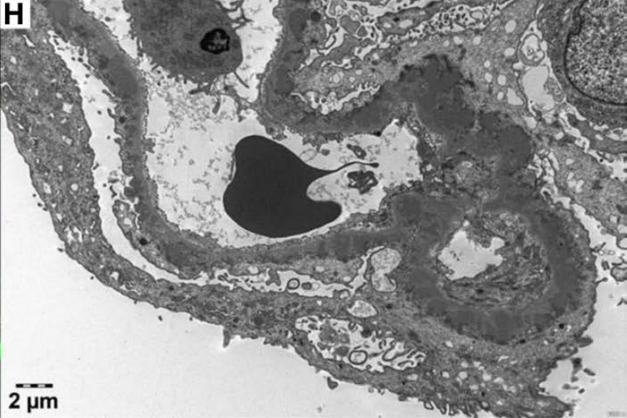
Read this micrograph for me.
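A glomerular capillary loop containing a red blood cell in its lumen is lined by endothelium and covered on its outer side by podocyte cytoplasm. Along the outer aspect of the thickened basement membrane lie dark, electron-dense deposits beneath the podocytes, whose foot processes are fused into a continuous sheet rather than separate interdigitations.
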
